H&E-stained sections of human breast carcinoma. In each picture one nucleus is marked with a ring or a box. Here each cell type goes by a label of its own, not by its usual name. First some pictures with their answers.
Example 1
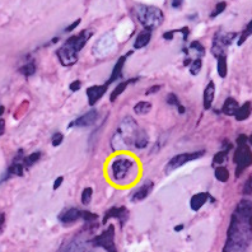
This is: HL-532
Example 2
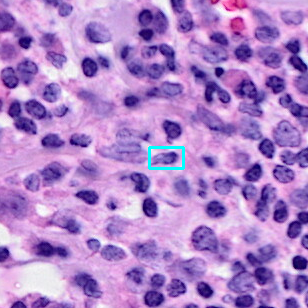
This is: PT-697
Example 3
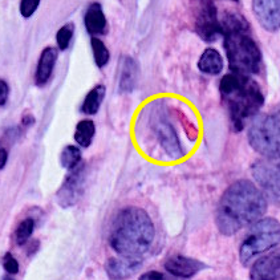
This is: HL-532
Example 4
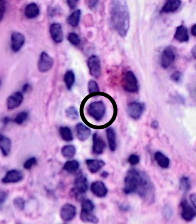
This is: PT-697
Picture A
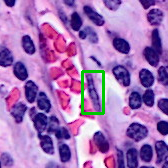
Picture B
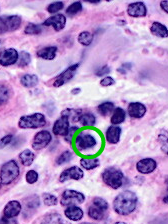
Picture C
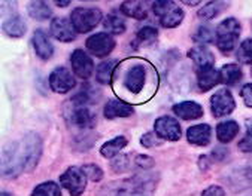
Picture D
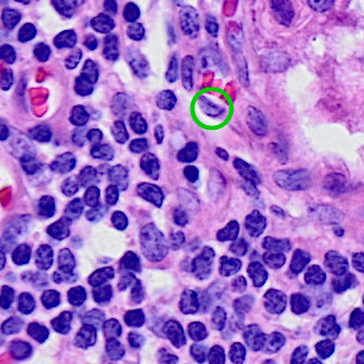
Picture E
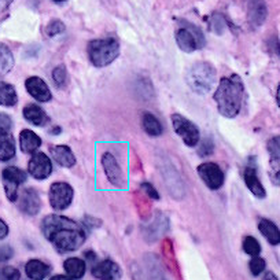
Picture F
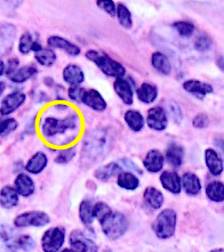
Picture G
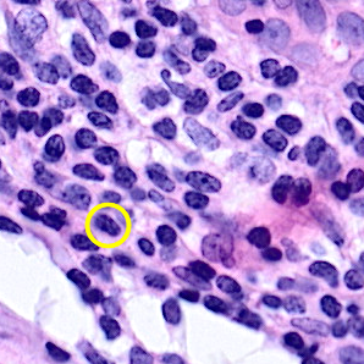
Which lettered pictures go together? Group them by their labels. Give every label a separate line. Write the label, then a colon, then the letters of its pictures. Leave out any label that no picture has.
HL-532: A, D, E
PT-697: B, C, F, G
